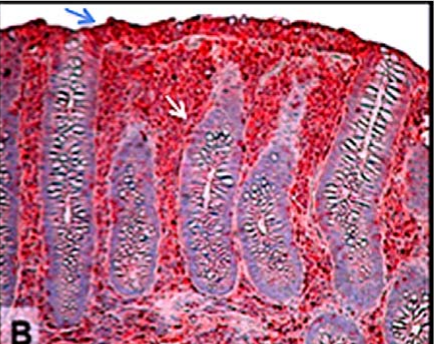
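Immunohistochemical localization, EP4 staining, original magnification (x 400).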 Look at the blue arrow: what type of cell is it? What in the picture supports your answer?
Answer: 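Surface intestinal epithelial cells. The arrow points at the cell layer lining the luminal surface at the top of the mucosa. Crypts with goblet cells run down from this surface.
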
